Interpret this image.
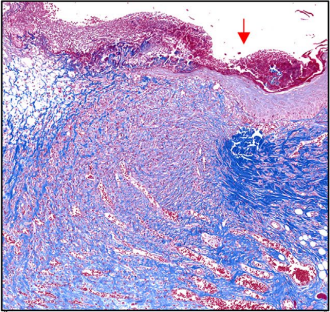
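Edge of a healing skin wound. At the top a red-staining crust-like surface layer lies over a paler epidermal-like band. Beneath, the dermis is filled with wavy fibrous tissue stained in mixed blue and red, with a dense blue patch of collagen on the right. Numerous elongated channels containing red-stained content run obliquely through the tissue, forming cord-like and cavity-like blood vessels. A cluster of clear round adipocytes lies at the left margin.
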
